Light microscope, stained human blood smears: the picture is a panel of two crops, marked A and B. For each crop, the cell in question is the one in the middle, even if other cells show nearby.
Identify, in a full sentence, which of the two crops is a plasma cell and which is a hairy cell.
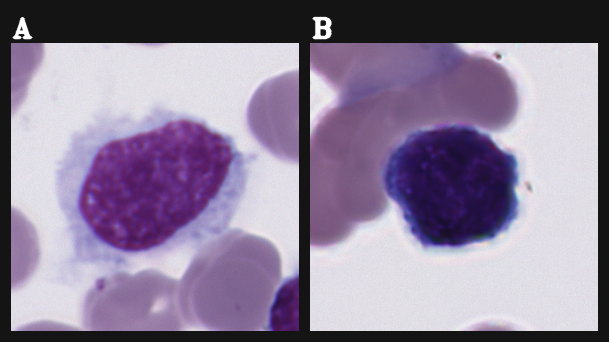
Among the crops, crop A is a hairy cell and crop B is a plasma cell.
